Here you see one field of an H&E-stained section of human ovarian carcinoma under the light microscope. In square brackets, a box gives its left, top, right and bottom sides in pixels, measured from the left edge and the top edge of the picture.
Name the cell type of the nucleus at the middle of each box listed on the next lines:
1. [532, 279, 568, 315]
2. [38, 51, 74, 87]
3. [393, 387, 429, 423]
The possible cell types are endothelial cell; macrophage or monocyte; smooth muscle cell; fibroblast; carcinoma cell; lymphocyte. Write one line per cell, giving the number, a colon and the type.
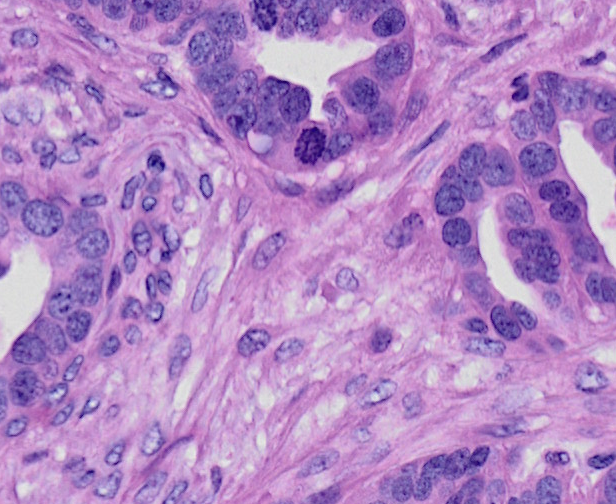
1: carcinoma cell
2: fibroblast
3: fibroblast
